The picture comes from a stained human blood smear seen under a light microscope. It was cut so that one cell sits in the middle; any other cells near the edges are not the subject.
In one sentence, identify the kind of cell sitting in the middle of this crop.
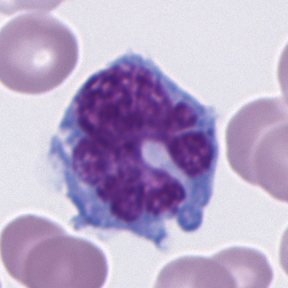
Centred in the crop is a monocyte.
